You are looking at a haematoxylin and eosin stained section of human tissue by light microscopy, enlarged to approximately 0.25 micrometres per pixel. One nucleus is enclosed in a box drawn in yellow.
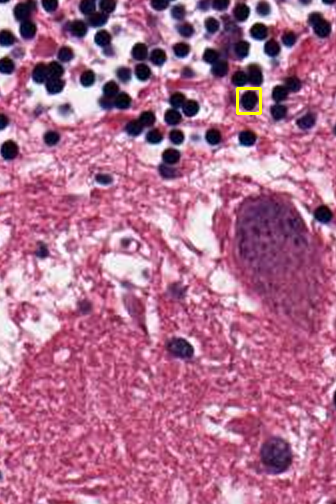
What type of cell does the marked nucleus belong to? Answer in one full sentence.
The nucleus that the mark indicates belongs to a cerebellar granule cell.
